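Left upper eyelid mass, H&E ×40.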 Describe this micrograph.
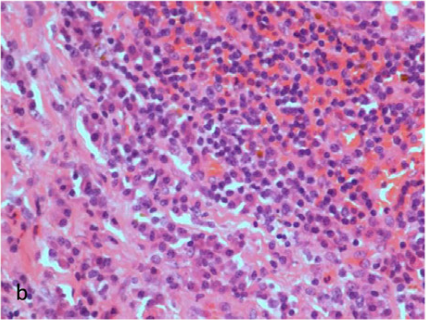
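This shows the edge of a lymphoid nodule beside a fibrous septum containing plasma cells. The nodule is made of densely packed small cells with round dark nuclei and scant cytoplasm. Toward the fibrous side the cells lie more loosely among pink collagen strands, and many have eccentric nuclei with more pink cytoplasm. Red blood cells are scattered through the field.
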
